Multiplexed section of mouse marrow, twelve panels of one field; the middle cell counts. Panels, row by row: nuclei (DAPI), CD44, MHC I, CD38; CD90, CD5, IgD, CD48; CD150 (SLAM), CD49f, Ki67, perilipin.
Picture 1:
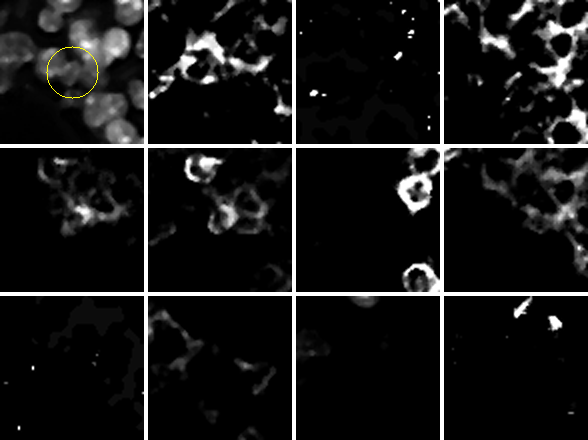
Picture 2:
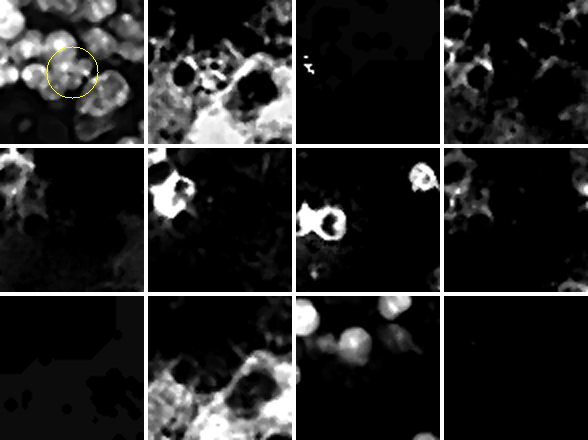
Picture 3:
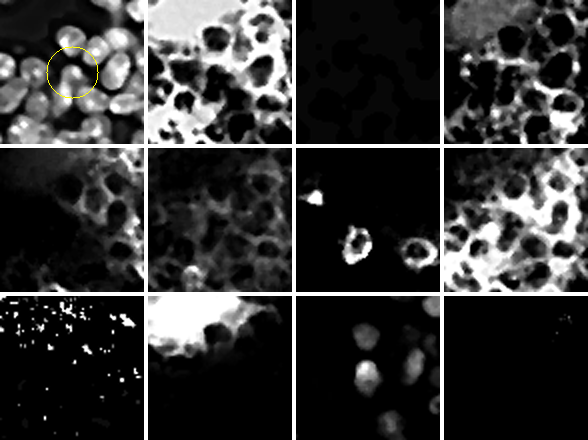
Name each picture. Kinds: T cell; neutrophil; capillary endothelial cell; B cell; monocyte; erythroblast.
1: T cell
2: neutrophil
3: B cell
